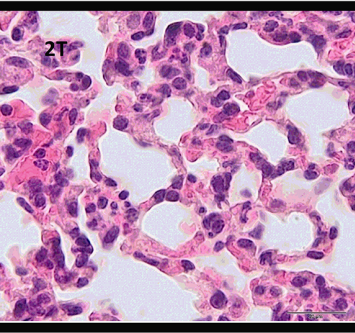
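Lung parenchyma with inflamed, congested alveolar septa. The septa are markedly thickened and crowded with dark purple, round to irregular nuclei of many cells. The alveolar airspaces are reduced in size and irregular in outline compared with normal lung. Pink eosinophilic cytoplasm and interstitial material fill the widened walls. No large airway or vessel is in view.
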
